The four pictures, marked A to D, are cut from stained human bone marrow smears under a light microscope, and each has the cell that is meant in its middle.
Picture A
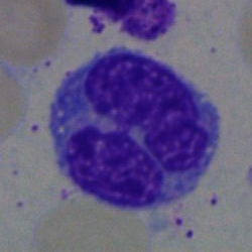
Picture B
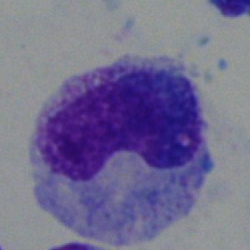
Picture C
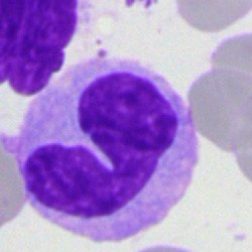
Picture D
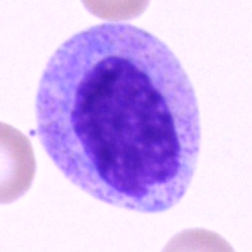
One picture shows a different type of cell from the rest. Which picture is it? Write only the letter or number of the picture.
D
